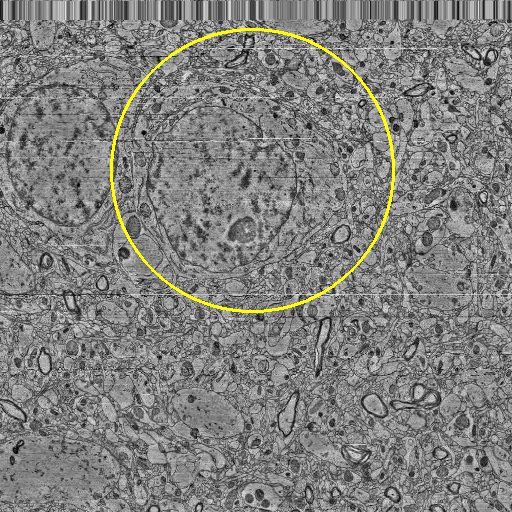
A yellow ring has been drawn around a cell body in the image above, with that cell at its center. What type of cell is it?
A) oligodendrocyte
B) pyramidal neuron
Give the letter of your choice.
B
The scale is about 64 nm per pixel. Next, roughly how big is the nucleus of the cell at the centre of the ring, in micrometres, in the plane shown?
In this plane the nucleus measures roughly 11 by 10 micrometers.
